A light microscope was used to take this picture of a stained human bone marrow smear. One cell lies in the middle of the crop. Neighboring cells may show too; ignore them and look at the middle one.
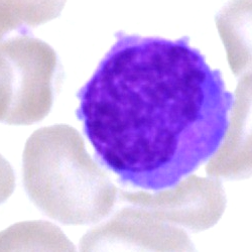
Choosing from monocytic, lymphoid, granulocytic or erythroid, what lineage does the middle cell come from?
monocytic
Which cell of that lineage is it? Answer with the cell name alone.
monocyte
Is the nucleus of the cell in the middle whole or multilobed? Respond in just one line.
In this cell the nucleus is a solitary compact mass, round, oval or kidney-shaped.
